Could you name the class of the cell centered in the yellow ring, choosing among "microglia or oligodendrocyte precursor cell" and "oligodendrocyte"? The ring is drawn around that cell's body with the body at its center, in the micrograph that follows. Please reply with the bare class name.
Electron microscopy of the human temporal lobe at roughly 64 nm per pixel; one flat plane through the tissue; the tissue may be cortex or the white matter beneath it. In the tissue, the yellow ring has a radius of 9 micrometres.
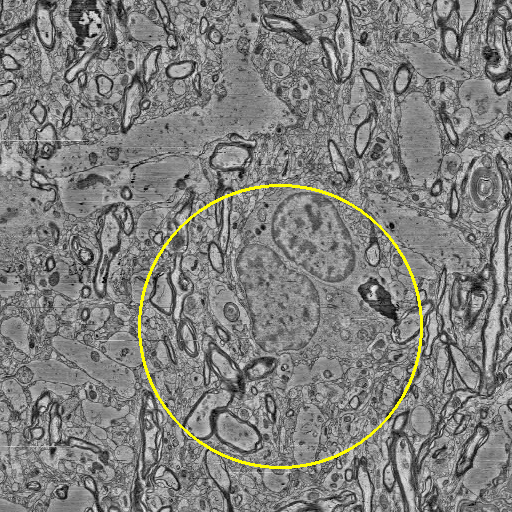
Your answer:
oligodendrocyte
